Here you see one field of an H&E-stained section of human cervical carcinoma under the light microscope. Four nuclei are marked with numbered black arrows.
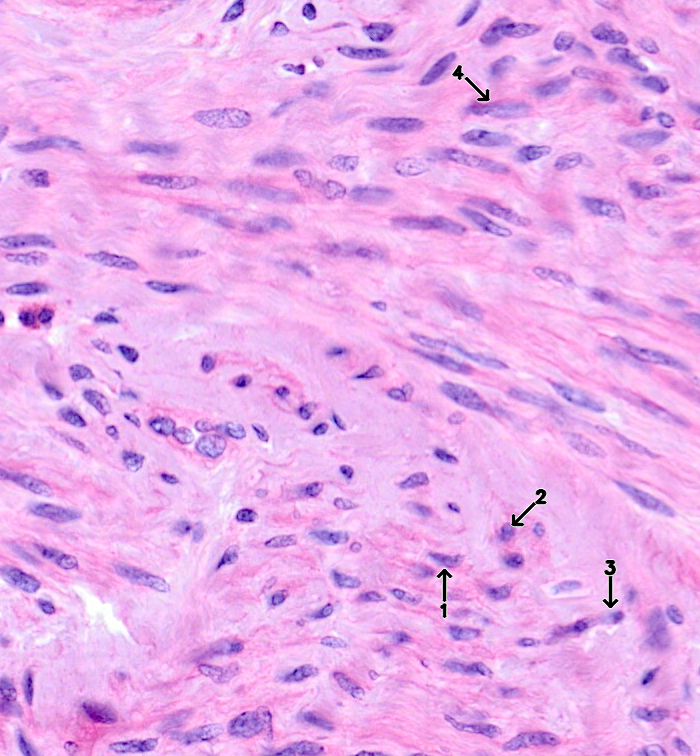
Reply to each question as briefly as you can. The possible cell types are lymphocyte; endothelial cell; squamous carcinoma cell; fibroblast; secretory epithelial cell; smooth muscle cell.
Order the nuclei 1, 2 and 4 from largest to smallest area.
4, 1, 2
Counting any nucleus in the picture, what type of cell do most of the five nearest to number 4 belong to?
fibroblast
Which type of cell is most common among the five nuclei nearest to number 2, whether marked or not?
smooth muscle cell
